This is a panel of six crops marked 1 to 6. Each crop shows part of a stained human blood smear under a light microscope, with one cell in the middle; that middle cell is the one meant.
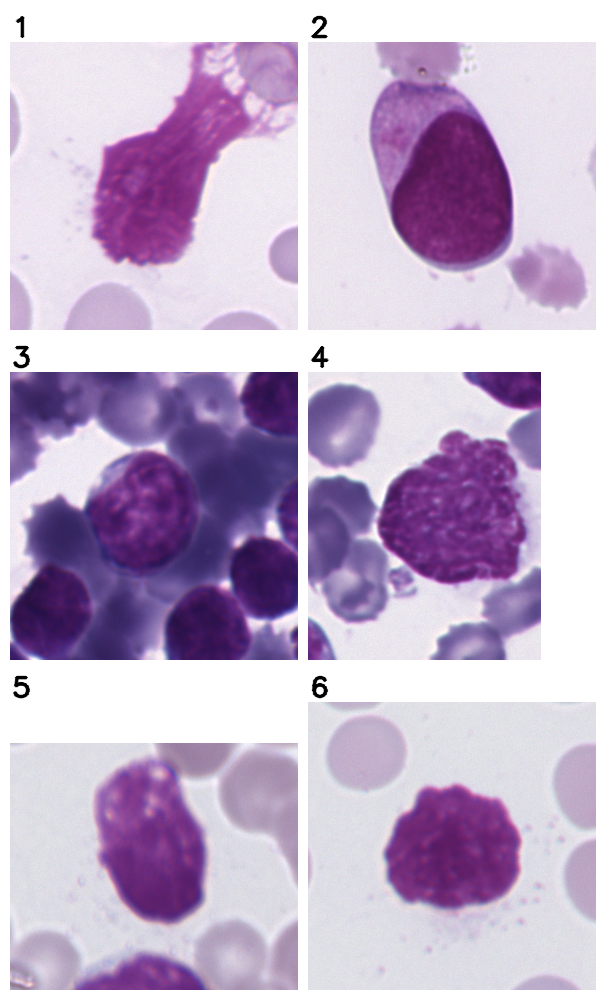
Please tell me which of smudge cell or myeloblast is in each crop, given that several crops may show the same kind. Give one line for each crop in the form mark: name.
1: smudge cell
2: myeloblast
3: myeloblast
4: myeloblast
5: smudge cell
6: smudge cell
